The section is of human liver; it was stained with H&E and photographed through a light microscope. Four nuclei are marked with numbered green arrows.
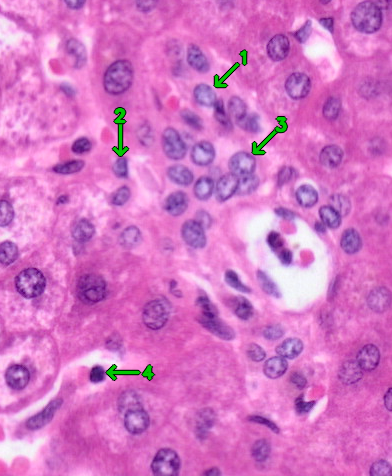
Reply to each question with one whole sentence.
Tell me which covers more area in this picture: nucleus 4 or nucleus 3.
Nucleus 3 is larger, with an area about 2 times that of nucleus 4.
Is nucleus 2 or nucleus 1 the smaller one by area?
Nucleus 2 covers less area, with nucleus 1 about 1.5 times as large.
